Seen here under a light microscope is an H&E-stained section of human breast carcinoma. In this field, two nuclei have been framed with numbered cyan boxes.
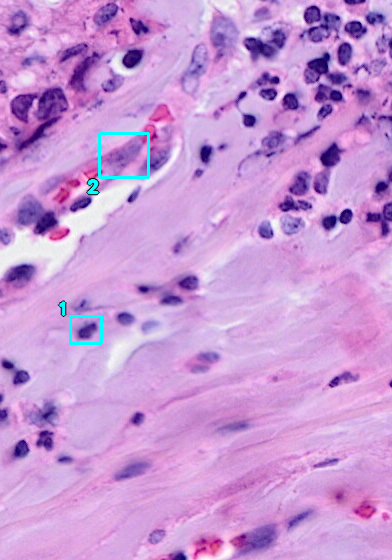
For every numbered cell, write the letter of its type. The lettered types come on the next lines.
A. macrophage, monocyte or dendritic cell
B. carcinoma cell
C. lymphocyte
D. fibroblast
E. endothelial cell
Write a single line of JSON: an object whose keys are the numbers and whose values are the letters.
{"1": "C", "2": "E"}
